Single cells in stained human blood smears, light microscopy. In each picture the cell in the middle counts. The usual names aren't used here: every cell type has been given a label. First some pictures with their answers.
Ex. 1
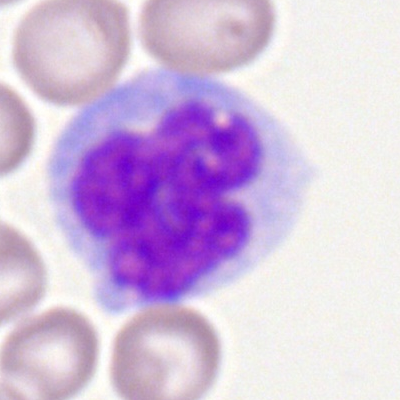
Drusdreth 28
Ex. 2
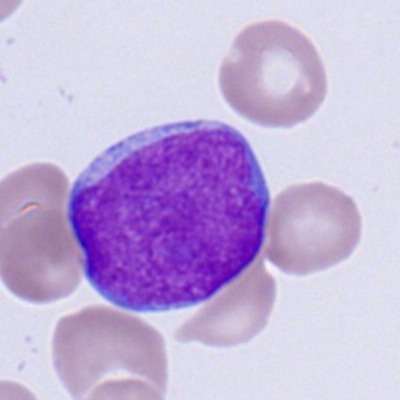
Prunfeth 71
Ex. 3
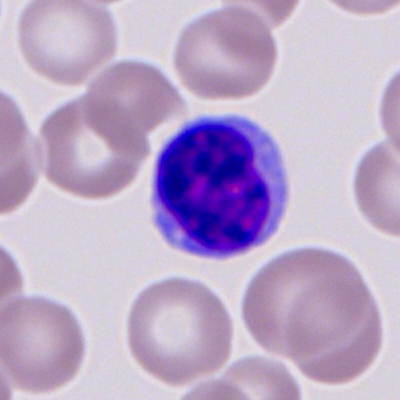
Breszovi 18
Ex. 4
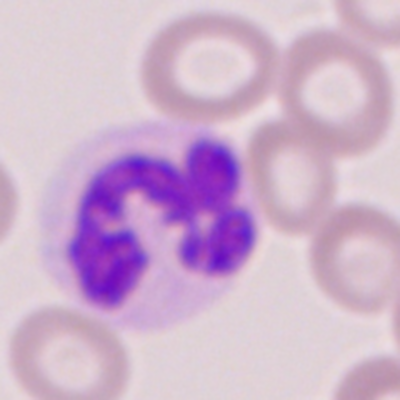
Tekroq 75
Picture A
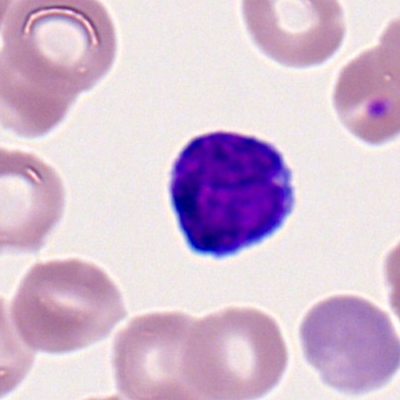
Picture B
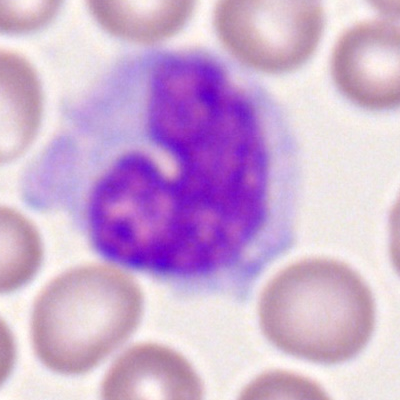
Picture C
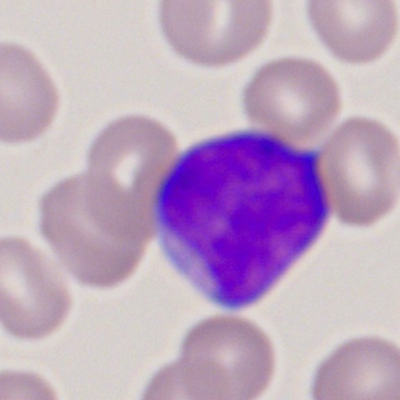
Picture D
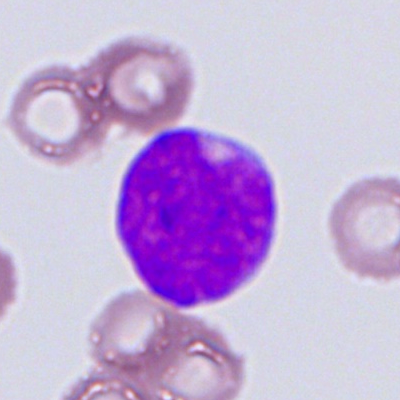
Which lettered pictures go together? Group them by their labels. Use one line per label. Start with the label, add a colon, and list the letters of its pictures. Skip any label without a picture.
Drusdreth 28: B
Prunfeth 71: C, D
Breszovi 18: A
